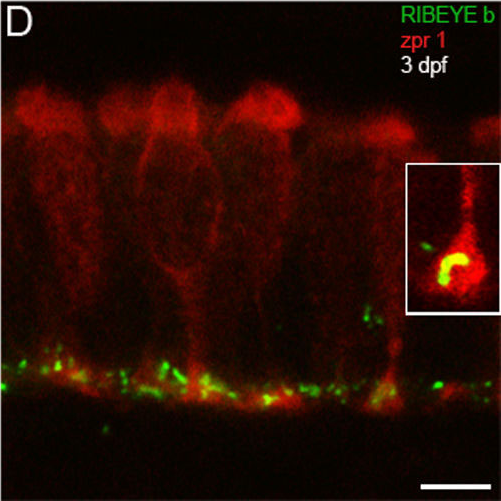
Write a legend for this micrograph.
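Here the retinal photoreceptors again form a row of red, elongated cells with broad upper ends and slender stalks running down to their terminals. Along the base of the row runs a band of small green specks of varied shapes, dots, short rods and little curves, lying in and between the terminals. The enlarged box shows one red terminal at the end of its stalk holding a bright curved green structure, which may be a synaptic ribbon. Above the band, the cell bodies carry hardly any green.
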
